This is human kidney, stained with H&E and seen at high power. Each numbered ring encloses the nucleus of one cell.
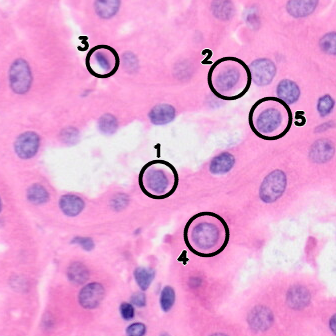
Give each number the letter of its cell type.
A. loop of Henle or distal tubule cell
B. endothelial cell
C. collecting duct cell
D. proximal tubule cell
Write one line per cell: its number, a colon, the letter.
1: A
2: A
3: B
4: D
5: A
